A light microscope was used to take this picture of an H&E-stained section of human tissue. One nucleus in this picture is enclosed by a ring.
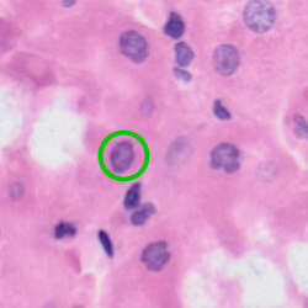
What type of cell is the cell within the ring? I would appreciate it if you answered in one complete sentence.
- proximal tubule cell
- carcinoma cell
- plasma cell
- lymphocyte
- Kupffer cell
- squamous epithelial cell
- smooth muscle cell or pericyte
On this particular slide, the cell within the ring is a proximal tubule cell.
